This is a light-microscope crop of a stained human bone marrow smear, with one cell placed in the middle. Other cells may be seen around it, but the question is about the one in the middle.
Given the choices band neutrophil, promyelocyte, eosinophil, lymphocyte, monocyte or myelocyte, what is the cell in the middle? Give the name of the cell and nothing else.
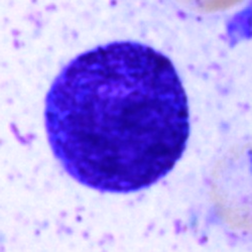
promyelocyte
